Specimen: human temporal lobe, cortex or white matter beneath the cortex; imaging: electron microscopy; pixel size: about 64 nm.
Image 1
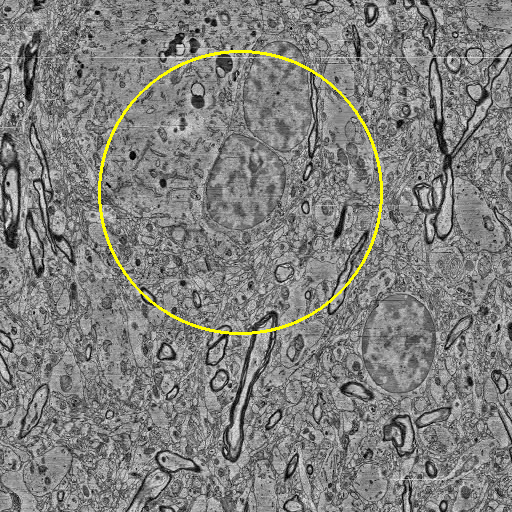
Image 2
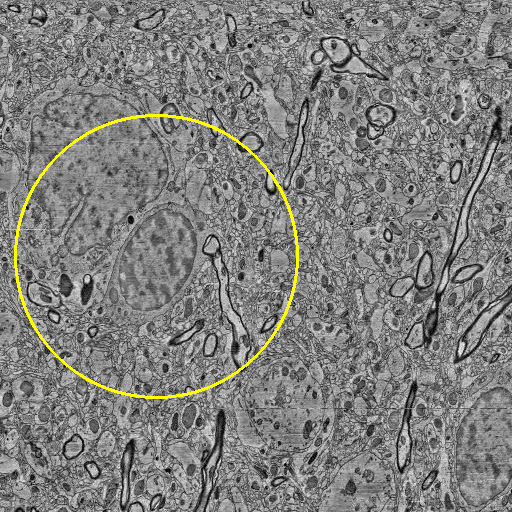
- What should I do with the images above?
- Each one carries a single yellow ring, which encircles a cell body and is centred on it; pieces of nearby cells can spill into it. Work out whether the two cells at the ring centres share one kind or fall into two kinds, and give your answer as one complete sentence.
The ring-centre cells of Image 1 and Image 2 share one kind.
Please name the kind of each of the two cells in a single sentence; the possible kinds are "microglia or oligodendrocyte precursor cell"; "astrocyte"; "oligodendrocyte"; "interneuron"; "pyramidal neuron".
Both pictures show an oligodendrocyte at the centre of the ring.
